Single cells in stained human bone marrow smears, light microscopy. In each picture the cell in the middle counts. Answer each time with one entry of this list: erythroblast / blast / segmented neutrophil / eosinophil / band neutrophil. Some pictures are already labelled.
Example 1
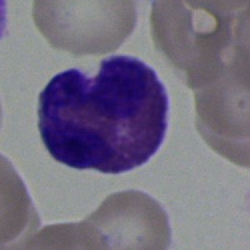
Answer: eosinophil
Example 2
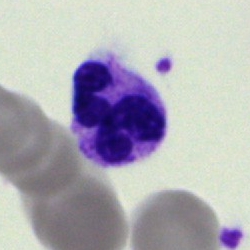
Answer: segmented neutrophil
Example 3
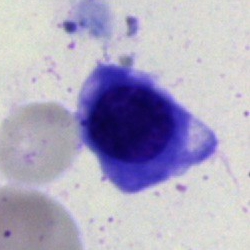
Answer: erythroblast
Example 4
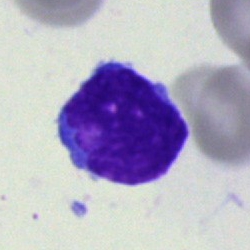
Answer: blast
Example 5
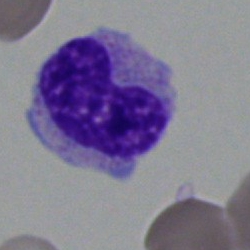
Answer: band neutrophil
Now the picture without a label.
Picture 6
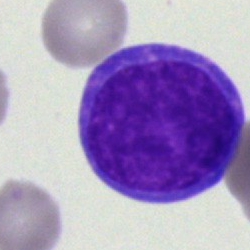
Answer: blast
